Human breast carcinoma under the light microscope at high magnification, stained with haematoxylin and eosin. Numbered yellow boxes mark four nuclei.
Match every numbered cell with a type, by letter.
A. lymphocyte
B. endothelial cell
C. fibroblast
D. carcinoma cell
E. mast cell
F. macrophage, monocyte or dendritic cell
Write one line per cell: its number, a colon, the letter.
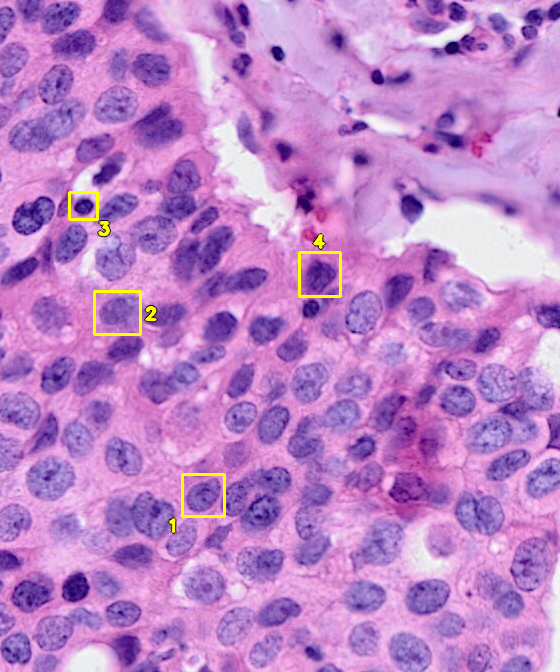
1: D
2: D
3: A
4: D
